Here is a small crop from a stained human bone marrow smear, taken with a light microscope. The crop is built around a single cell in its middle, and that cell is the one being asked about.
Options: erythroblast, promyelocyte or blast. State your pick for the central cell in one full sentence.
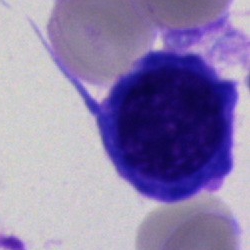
The cell at the centre of the field is an erythroblast.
